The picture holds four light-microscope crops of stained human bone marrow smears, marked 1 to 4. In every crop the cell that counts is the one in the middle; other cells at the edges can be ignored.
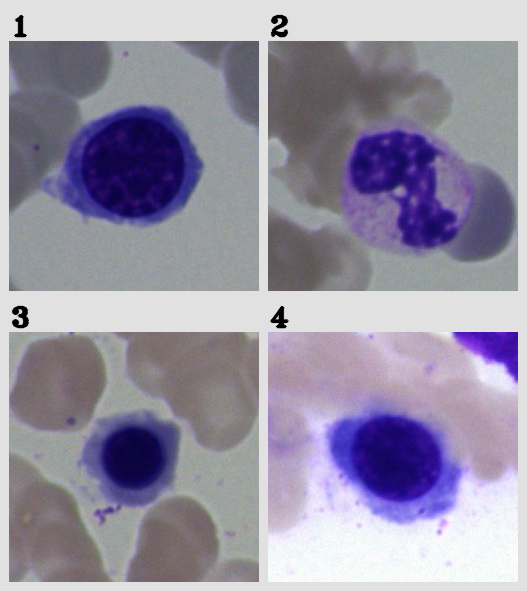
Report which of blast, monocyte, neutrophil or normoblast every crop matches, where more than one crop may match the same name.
1: normoblast
2: neutrophil
3: normoblast
4: normoblast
